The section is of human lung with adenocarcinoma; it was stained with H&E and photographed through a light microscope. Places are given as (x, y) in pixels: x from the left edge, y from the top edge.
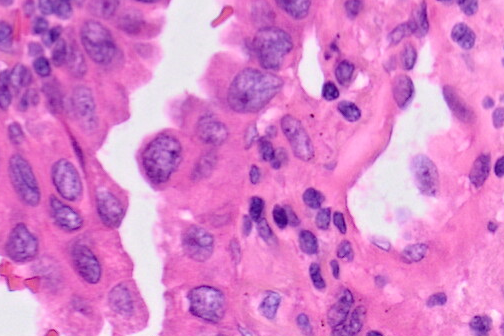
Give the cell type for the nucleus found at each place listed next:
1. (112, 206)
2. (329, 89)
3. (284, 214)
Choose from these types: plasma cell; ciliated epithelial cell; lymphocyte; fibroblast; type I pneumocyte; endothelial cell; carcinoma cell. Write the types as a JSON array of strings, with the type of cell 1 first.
["carcinoma cell", "lymphocyte", "lymphocyte"]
